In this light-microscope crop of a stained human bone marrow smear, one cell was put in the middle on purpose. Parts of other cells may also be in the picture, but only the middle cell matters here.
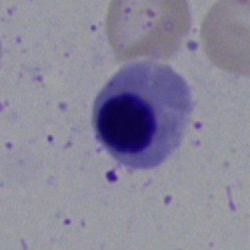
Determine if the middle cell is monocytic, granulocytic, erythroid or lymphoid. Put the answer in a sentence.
The central cell is regarded as belonging to the erythroid lineage.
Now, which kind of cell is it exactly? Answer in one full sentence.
Framed in the middle of the crop is an erythroblast.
